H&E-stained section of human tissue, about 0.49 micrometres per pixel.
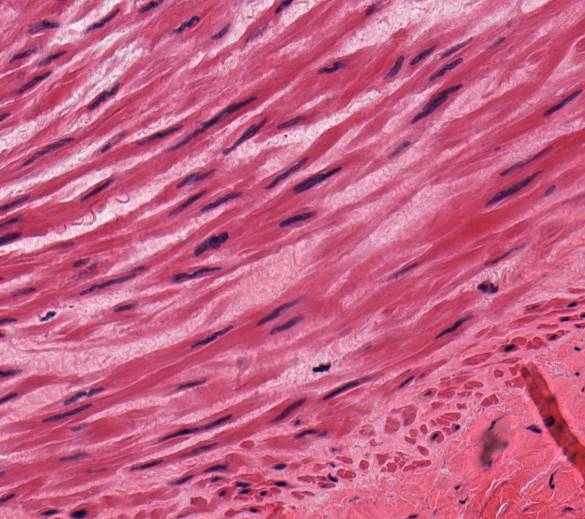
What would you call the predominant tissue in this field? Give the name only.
tunica media of an artery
